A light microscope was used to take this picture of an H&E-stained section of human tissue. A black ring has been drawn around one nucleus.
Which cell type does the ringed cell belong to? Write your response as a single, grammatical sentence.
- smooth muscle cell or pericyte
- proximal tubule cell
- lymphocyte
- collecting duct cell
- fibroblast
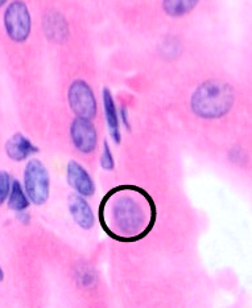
So far as cell type goes, the ringed cell is a proximal tubule cell.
